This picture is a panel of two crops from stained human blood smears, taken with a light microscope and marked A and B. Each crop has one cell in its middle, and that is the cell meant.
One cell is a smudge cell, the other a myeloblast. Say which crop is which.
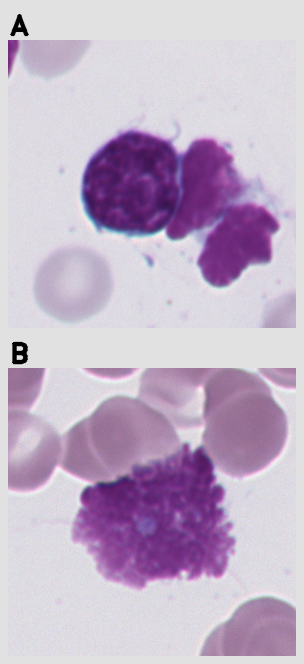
A: myeloblast
B: smudge cell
